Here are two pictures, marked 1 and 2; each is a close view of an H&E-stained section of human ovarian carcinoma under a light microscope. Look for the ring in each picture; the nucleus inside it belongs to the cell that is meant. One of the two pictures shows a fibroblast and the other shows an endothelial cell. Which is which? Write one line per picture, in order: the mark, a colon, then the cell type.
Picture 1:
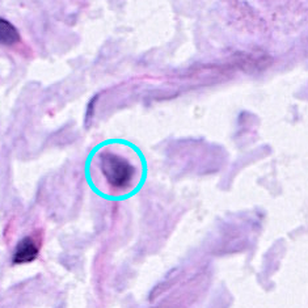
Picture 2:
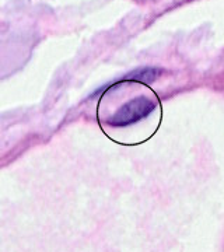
1: fibroblast
2: endothelial cell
